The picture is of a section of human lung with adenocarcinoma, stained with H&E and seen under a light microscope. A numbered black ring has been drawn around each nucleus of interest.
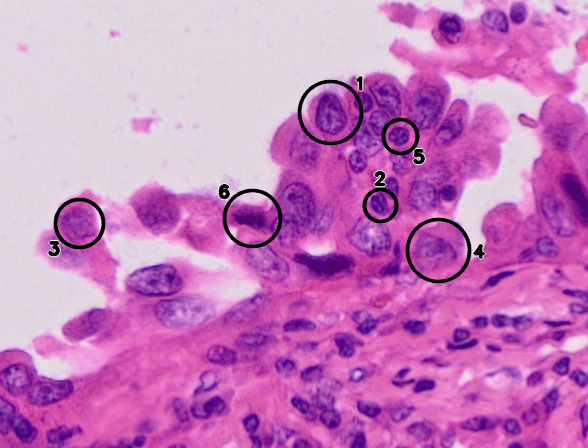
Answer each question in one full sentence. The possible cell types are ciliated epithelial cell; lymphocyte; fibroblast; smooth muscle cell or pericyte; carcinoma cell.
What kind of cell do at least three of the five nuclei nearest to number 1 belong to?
Lymphocytes account for more than half of the five nuclei nearest to number 1.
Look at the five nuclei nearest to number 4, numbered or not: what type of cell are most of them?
Fibroblasts account for more than half of the five nuclei nearest to number 4.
